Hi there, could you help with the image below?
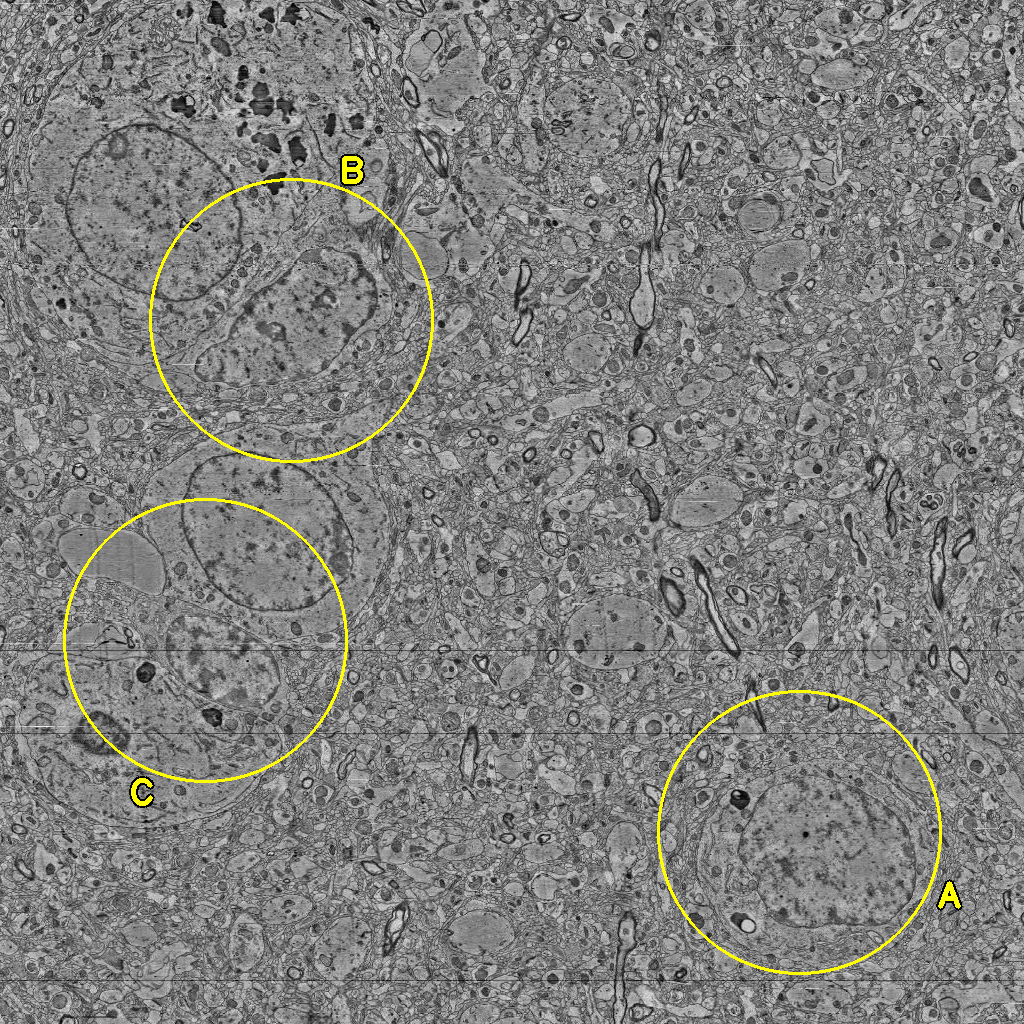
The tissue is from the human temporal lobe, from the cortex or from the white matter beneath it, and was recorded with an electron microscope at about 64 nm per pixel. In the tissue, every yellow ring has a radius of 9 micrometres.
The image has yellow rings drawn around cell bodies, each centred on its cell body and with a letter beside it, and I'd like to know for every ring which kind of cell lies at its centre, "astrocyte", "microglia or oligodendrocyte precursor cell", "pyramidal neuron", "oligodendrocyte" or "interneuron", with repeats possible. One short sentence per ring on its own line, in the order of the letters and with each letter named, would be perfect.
Ring A is placed around an interneuron.
Ring B is placed around a microglial cell or oligodendrocyte precursor cell.
Ring C is placed around an oligodendrocyte.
